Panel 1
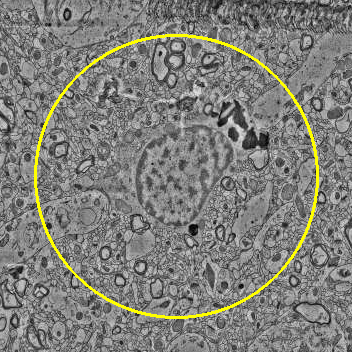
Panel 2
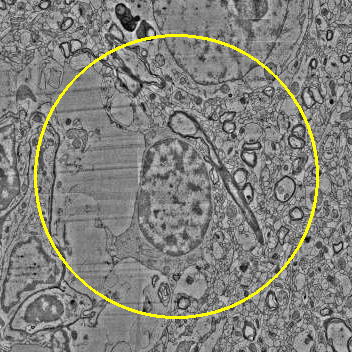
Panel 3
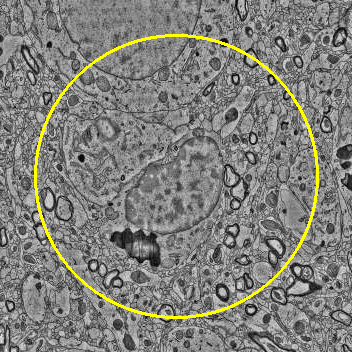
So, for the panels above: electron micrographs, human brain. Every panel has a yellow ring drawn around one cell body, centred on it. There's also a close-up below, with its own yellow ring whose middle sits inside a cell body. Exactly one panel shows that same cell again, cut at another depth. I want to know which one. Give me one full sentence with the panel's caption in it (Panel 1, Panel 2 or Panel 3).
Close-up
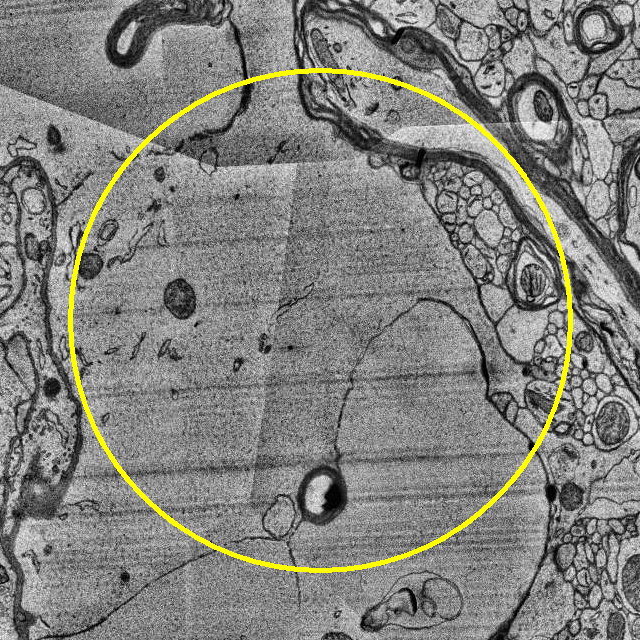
The close-up zooms in on the cell circled in Panel 2.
